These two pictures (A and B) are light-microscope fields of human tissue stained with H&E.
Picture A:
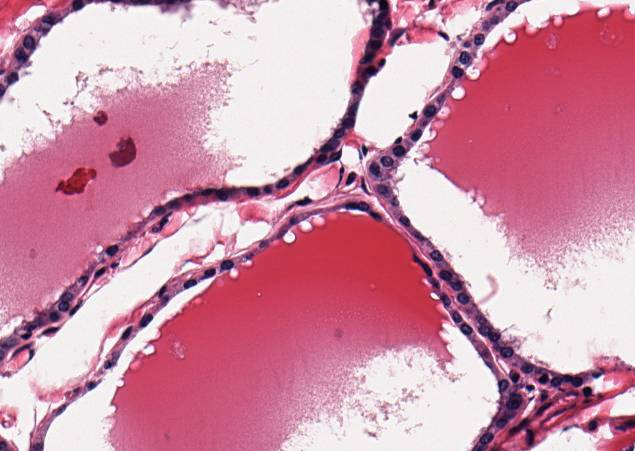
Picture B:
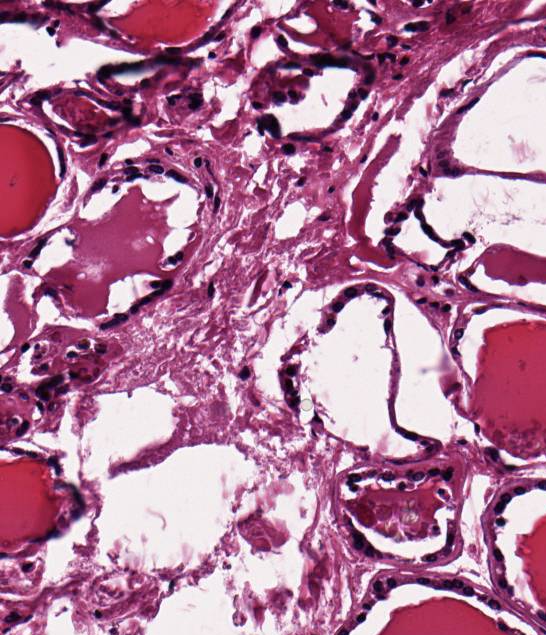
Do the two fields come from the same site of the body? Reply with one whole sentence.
Yes, both come from the thyroid.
